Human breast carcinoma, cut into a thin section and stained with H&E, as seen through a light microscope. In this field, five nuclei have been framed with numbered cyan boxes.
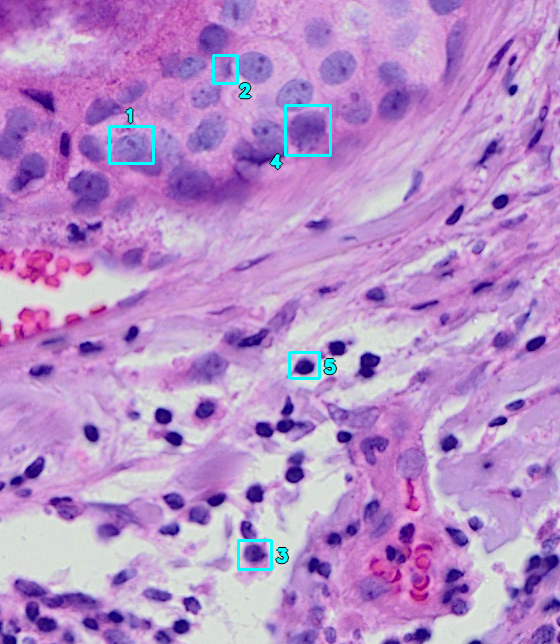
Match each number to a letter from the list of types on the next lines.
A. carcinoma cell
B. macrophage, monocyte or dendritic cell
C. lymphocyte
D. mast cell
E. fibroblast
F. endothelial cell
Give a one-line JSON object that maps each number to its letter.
{"1": "A", "2": "A", "3": "C", "4": "A", "5": "C"}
